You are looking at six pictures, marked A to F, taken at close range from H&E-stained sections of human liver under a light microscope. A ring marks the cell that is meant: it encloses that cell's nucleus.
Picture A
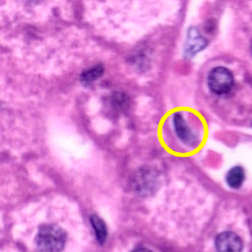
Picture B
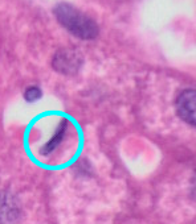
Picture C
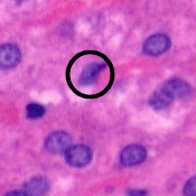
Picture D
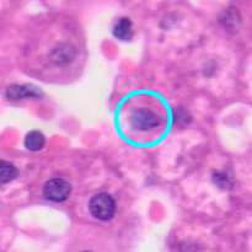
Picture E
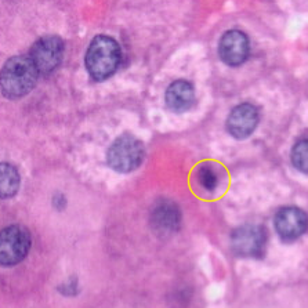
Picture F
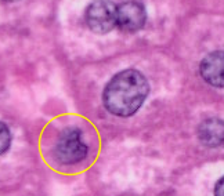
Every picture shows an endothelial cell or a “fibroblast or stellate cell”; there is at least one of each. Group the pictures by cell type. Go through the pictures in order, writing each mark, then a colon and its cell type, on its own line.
A: endothelial cell
B: endothelial cell
C: endothelial cell
D: fibroblast or stellate cell
E: fibroblast or stellate cell
F: endothelial cell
